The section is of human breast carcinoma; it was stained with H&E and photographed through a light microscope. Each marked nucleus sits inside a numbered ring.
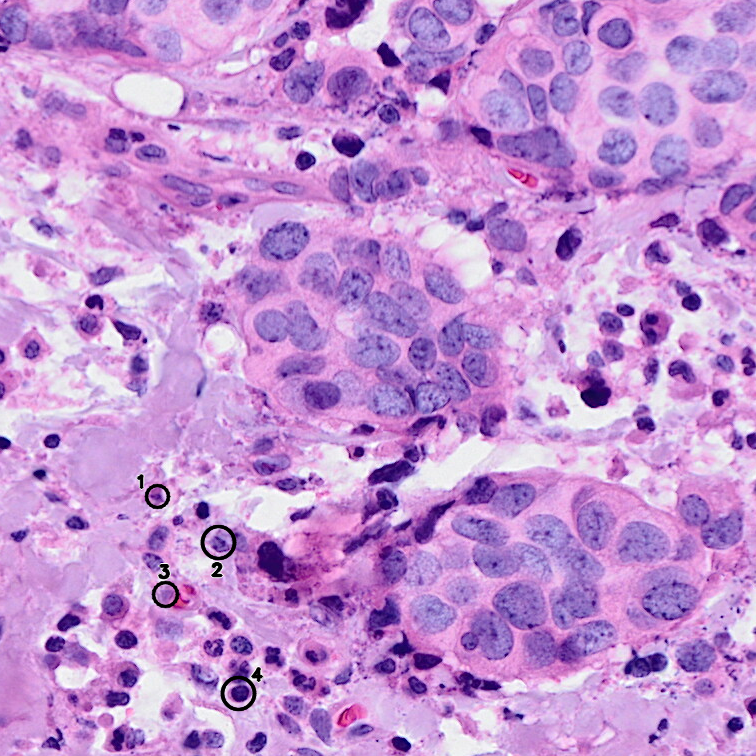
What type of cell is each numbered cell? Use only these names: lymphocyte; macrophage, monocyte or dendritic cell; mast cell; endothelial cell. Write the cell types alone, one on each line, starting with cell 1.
macrophage, monocyte or dendritic cell
macrophage, monocyte or dendritic cell
endothelial cell
lymphocyte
